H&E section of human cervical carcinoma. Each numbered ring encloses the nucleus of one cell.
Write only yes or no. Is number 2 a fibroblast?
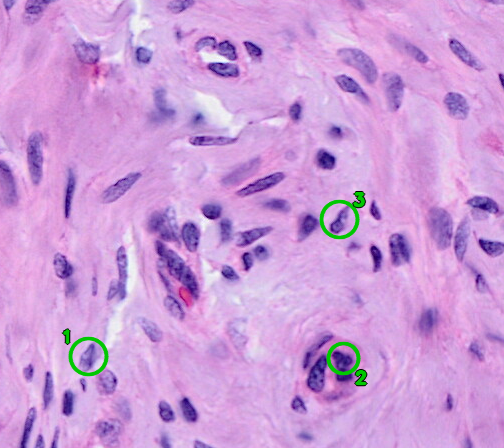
no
